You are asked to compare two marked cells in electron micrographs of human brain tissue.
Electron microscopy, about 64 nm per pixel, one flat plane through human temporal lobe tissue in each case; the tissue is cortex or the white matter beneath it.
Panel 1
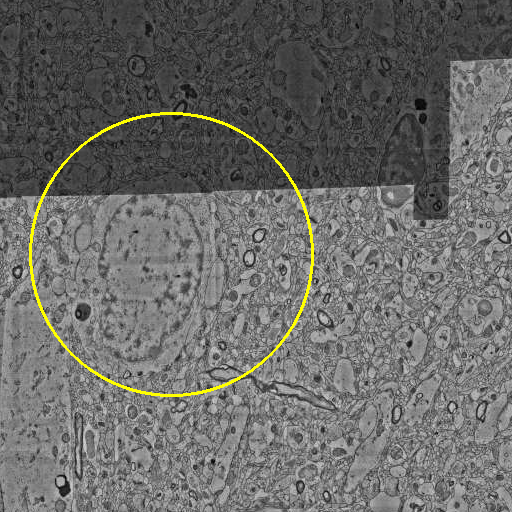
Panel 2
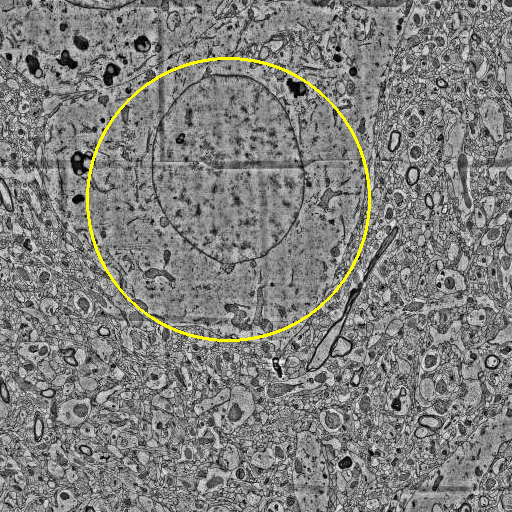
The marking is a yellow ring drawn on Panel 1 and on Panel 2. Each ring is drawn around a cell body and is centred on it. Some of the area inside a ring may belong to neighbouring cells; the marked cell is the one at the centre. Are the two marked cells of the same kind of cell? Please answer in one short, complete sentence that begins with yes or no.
No, the two marked cells are of two kinds.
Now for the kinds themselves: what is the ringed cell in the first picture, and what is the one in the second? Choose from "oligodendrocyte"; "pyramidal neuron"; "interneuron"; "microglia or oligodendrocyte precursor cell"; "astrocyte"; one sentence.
Here the first cell is an interneuron and the second cell is a pyramidal neuron.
